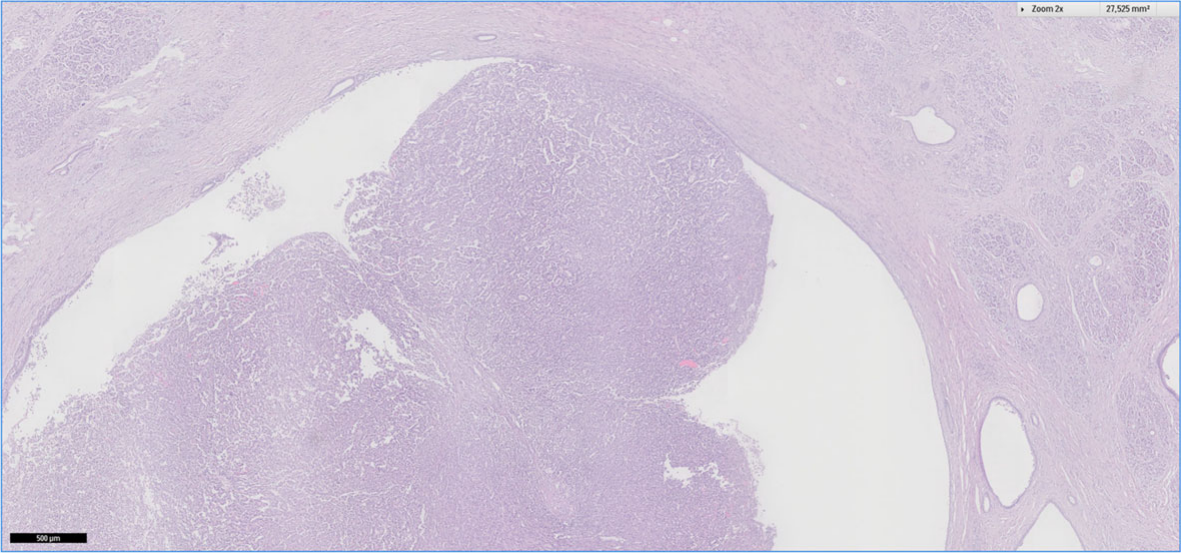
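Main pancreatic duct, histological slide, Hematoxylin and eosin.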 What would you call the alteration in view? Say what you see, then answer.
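A large, densely cellular purple mass lies within a wide, partly empty lumen. The lumen is bounded by a thick pink fibrous wall. Lobules of glandular parenchyma lie outside the wall, on the right.
Conclusion: intraductal growing area of the tumor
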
